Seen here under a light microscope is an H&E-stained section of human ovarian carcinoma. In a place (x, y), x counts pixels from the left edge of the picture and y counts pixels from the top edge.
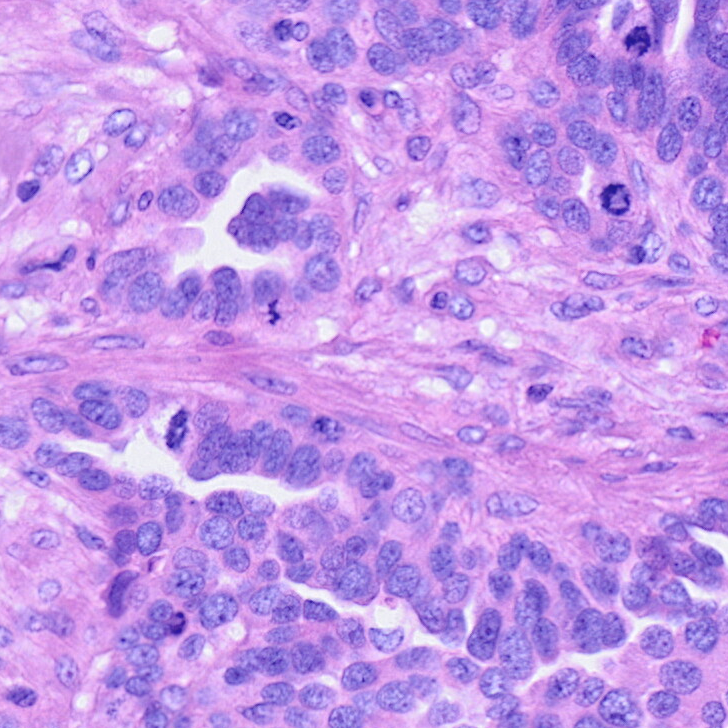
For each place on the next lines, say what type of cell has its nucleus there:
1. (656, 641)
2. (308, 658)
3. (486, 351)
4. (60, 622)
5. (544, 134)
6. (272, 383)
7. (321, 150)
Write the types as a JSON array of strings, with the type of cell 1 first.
["carcinoma cell", "carcinoma cell", "fibroblast", "fibroblast", "carcinoma cell", "fibroblast", "carcinoma cell"]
